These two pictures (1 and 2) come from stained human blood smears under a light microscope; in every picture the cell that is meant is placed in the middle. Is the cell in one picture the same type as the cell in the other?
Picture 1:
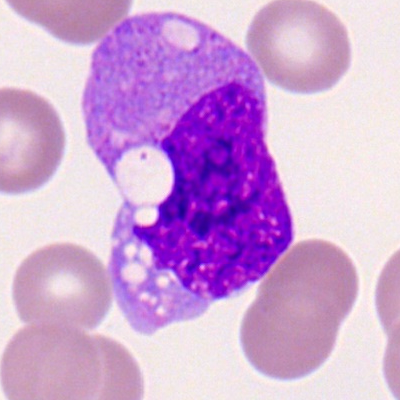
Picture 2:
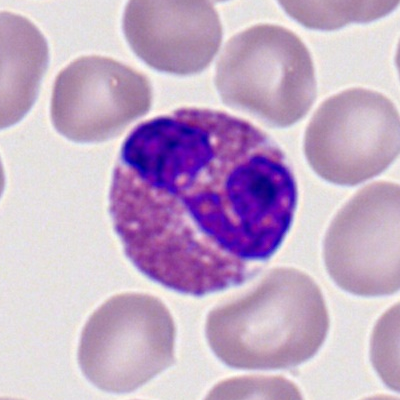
no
